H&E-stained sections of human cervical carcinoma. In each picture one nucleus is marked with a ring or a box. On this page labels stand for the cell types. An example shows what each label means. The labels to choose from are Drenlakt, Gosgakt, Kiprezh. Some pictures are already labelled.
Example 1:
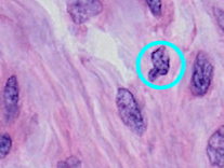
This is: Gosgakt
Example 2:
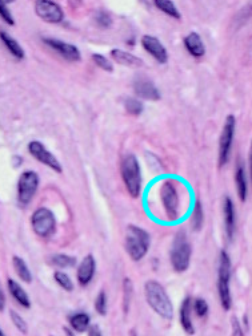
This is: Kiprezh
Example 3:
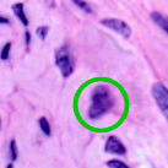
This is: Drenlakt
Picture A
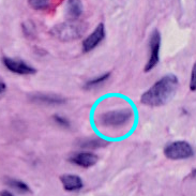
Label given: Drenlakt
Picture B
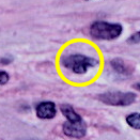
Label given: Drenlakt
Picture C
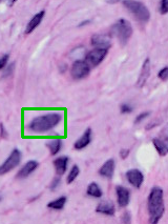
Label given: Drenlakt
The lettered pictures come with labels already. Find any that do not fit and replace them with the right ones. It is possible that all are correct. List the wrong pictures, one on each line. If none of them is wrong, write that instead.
B is labelled Drenlakt; correct label: Gosgakt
